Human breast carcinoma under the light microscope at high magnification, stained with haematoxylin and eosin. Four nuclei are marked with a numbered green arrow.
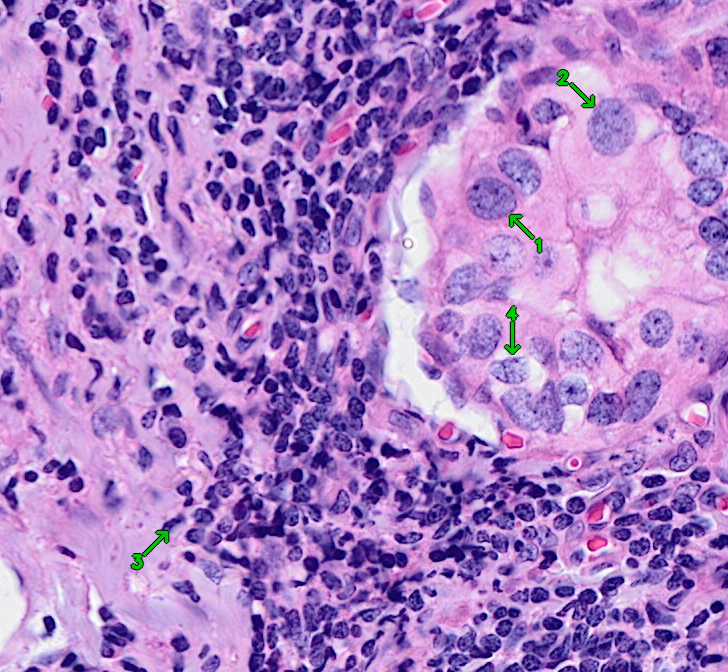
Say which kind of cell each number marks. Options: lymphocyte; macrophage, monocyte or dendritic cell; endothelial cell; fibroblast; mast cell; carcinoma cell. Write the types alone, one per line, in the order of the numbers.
carcinoma cell
carcinoma cell
lymphocyte
carcinoma cell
